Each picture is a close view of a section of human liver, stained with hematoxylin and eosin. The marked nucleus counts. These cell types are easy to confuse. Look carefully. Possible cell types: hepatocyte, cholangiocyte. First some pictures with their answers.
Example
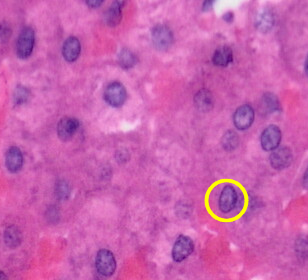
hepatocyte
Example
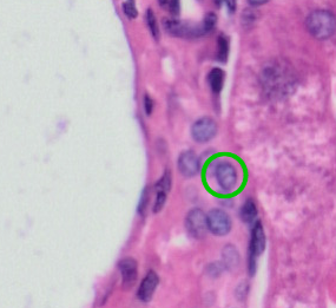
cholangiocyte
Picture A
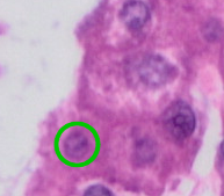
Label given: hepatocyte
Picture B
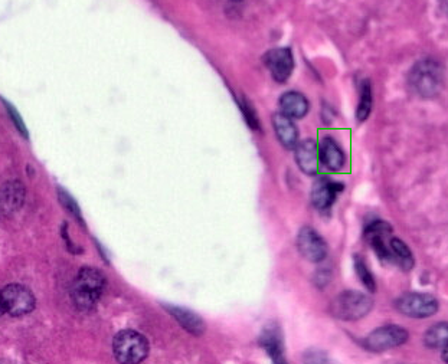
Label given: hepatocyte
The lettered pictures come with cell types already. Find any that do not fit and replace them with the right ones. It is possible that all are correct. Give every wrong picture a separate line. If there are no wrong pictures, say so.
B is labelled hepatocyte; correct label: cholangiocyte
